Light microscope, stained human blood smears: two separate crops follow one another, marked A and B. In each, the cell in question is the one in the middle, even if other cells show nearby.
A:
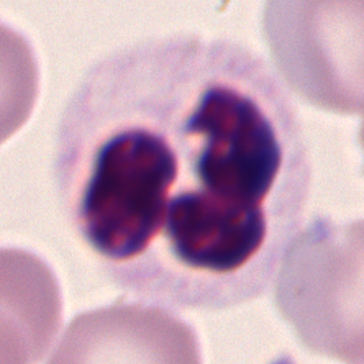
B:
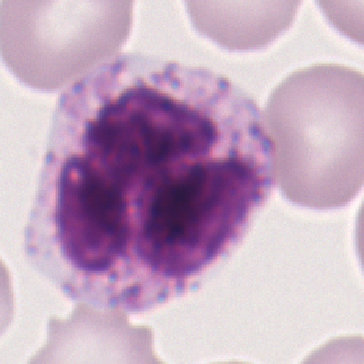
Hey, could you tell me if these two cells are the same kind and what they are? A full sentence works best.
No, in crop A there is a segmented neutrophil, and in crop B there is a basophil.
